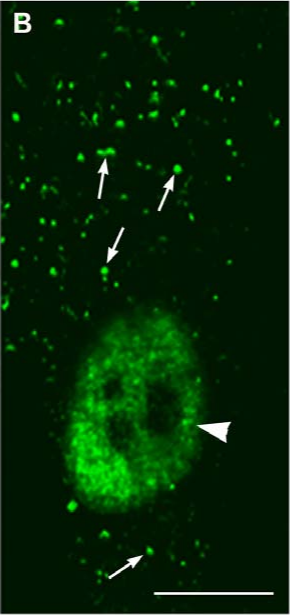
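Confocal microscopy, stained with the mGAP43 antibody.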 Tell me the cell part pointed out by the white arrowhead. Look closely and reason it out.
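Nucleus. Dark rounded areas lie inside the oval body. Scattered small spots surround the oval body.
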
